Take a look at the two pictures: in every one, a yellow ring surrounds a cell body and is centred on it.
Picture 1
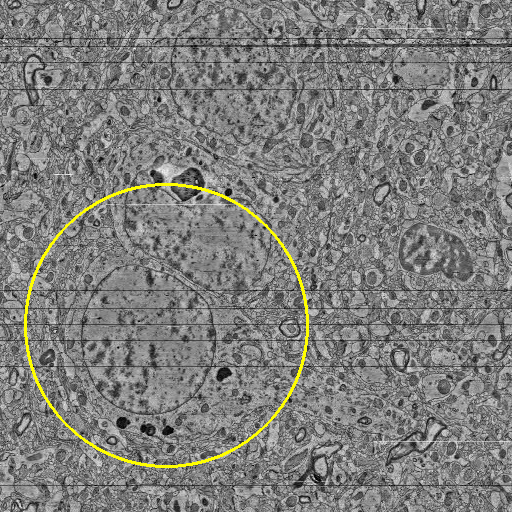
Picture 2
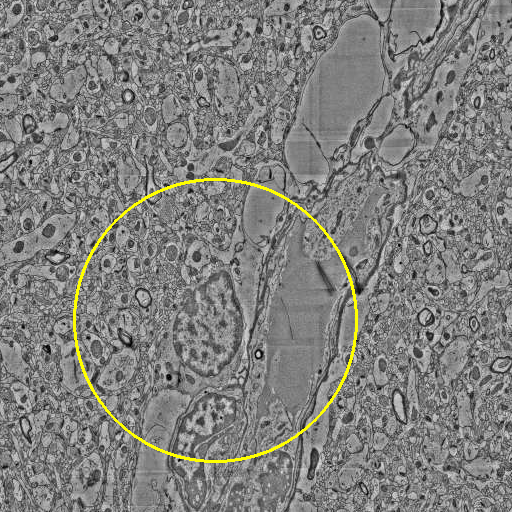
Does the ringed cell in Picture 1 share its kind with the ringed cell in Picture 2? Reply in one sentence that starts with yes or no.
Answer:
No, the two centred cells, one per picture, are of two kinds.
